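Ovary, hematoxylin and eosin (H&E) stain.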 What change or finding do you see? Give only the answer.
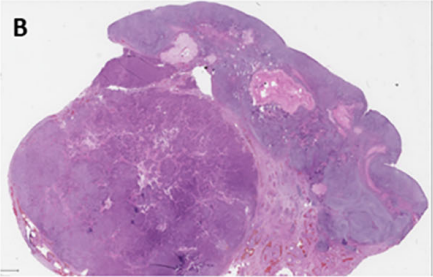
Well-circumscribed nodular solid tumor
